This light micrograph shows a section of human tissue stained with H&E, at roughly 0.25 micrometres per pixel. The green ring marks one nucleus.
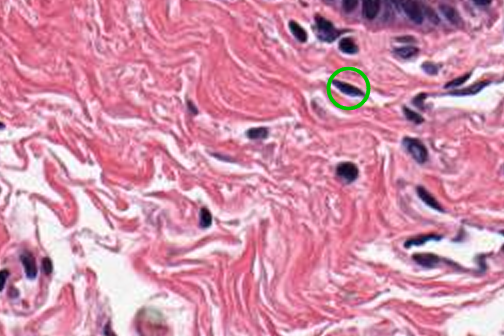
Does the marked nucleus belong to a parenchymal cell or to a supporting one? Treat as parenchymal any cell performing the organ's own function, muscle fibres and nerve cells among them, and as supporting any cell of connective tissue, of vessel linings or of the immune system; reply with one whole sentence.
Designated as that of a supporting cell is the marked nucleus.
